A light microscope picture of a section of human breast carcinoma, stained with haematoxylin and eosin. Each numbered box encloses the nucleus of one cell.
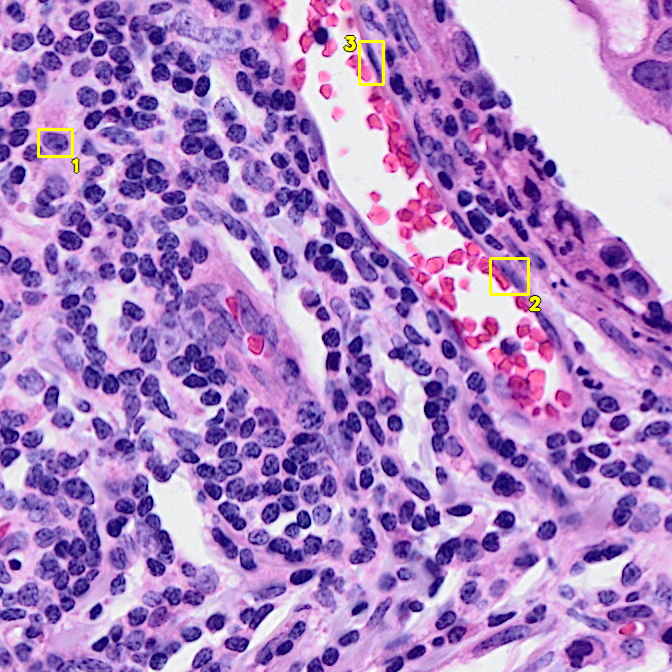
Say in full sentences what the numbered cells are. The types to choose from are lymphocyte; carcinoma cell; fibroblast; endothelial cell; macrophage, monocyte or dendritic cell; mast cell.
Cell 1 is a lymphocyte. Cells 2 and 3 are endothelial cells.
